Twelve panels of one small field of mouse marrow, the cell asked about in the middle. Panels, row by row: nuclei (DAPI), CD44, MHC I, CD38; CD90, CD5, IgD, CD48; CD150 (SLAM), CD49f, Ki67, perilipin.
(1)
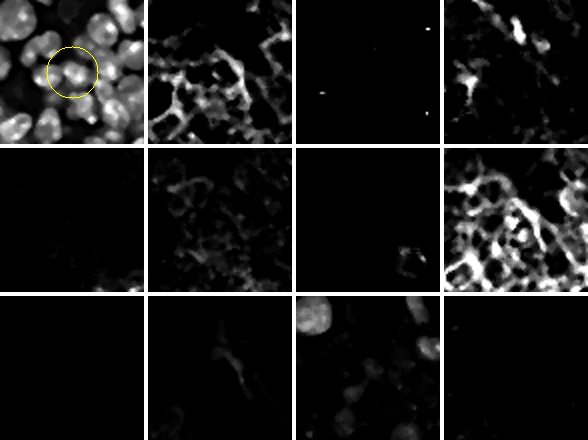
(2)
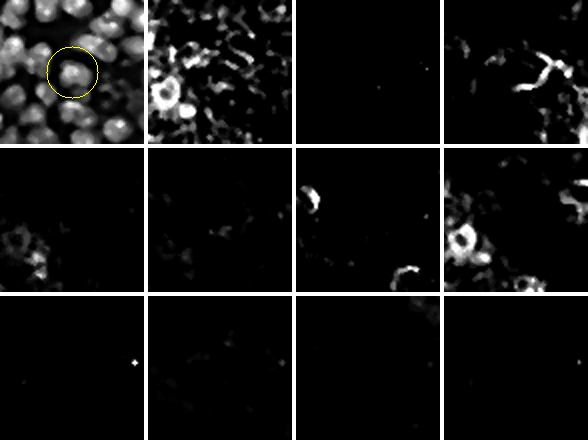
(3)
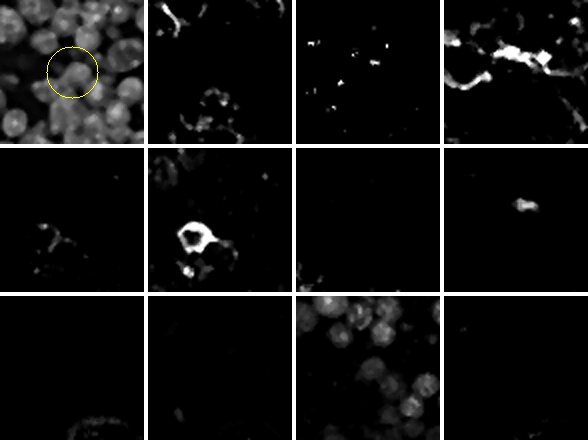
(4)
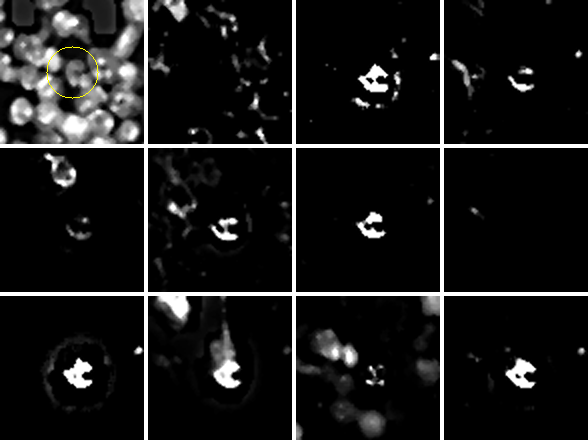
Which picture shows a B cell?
Picture 4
